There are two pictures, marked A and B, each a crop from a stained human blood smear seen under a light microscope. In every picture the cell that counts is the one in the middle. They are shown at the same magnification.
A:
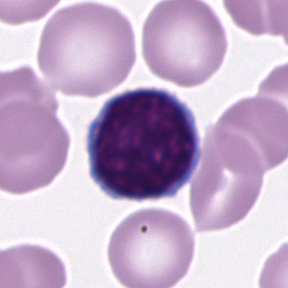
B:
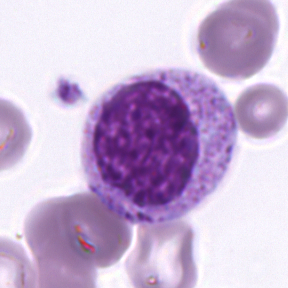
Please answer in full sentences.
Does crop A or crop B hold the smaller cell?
Crop A holds the smaller cell, since the cell in crop B covers about 1.5 times as much area.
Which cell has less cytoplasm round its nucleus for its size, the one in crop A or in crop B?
In crop A the nucleus takes up the larger part of its cell.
